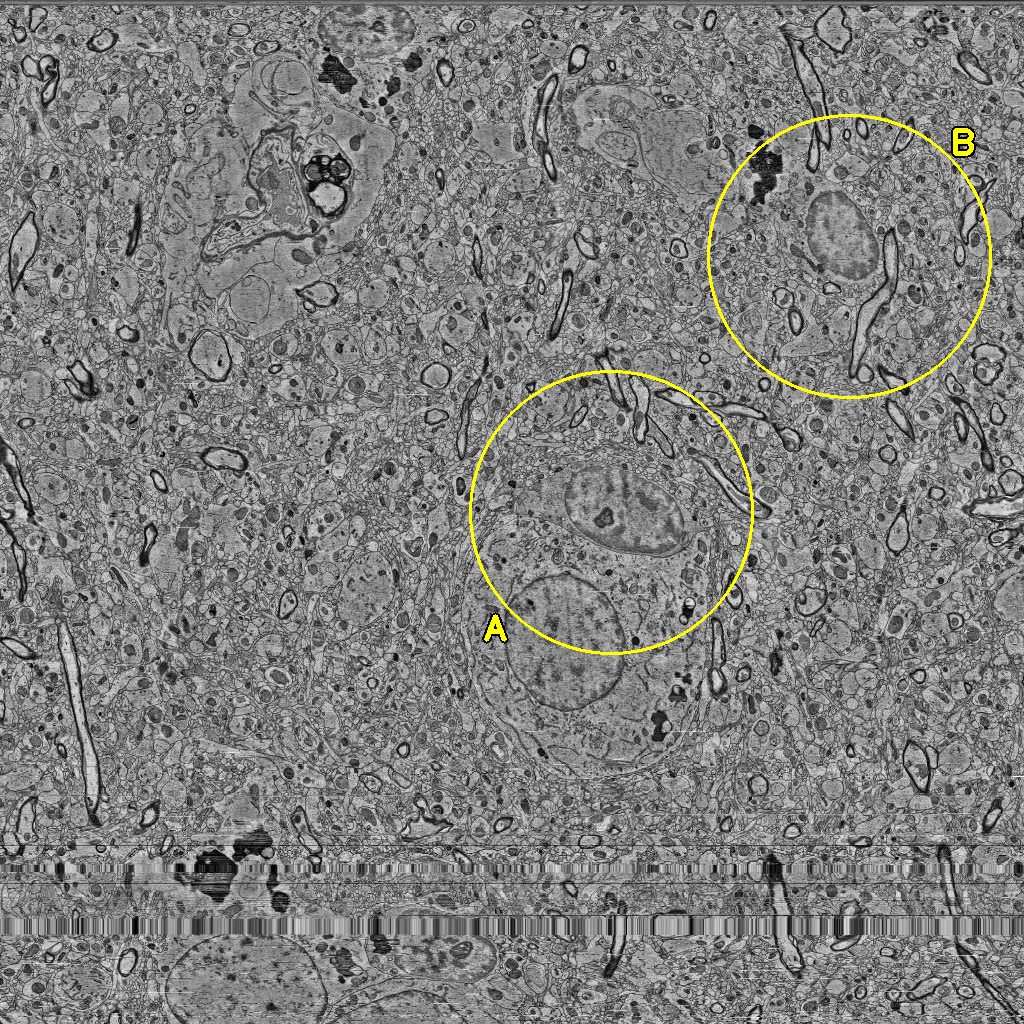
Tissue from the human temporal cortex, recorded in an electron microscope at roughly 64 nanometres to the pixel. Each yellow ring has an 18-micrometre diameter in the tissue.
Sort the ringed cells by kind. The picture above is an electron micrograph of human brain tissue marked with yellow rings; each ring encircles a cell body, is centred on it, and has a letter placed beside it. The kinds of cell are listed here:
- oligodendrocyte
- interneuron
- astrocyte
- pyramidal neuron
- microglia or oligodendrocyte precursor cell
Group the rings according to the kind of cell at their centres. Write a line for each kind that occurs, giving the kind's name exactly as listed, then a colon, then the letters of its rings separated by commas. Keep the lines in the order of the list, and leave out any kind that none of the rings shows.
oligodendrocyte: A, B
